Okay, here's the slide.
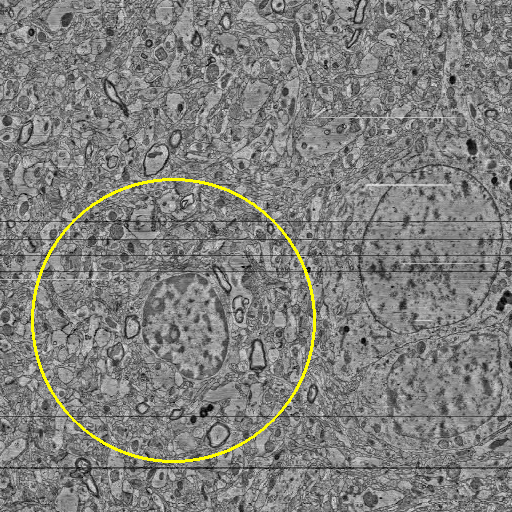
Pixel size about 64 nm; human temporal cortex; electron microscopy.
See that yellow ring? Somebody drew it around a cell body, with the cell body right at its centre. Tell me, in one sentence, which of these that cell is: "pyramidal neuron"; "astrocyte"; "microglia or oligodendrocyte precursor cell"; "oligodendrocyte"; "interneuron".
The cell in the middle of the ring is a microglial cell or oligodendrocyte precursor cell.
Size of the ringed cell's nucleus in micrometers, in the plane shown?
The nucleus of the ringed cell is approximately 7 by 5 micrometres in this plane.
